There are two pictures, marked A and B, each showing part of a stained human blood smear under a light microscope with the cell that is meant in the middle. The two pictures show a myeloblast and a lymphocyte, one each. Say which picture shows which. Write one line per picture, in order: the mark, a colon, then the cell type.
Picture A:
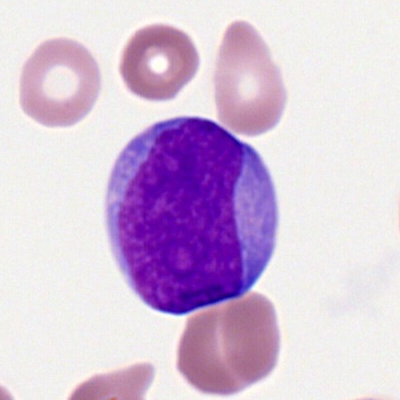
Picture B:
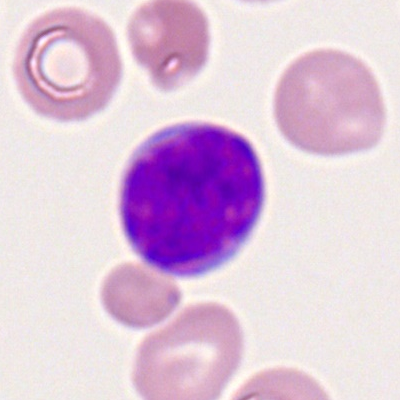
A: myeloblast
B: lymphocyte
